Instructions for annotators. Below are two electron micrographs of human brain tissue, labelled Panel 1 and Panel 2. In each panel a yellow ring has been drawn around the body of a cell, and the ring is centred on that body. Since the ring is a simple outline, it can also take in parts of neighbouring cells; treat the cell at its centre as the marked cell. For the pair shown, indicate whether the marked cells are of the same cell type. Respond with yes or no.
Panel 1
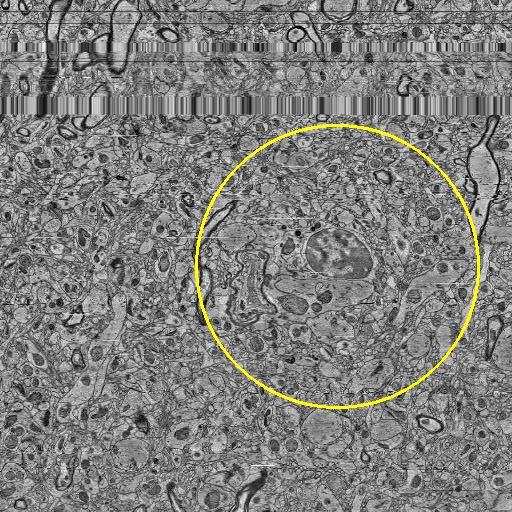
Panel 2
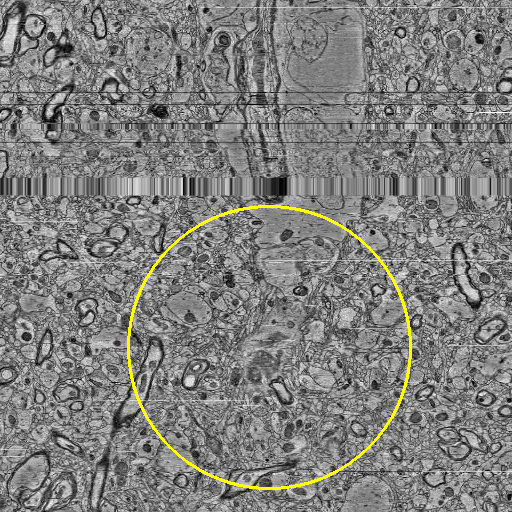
no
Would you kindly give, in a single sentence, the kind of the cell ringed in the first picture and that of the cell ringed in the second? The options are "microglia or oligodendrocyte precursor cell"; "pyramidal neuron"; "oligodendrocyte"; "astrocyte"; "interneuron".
The second cell is an oligodendrocyte, and the first cell is a microglial cell or oligodendrocyte precursor cell.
